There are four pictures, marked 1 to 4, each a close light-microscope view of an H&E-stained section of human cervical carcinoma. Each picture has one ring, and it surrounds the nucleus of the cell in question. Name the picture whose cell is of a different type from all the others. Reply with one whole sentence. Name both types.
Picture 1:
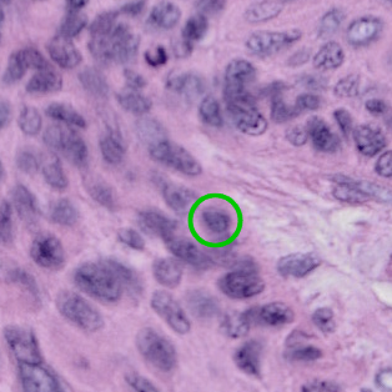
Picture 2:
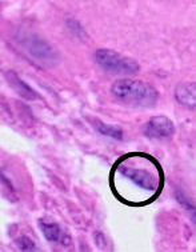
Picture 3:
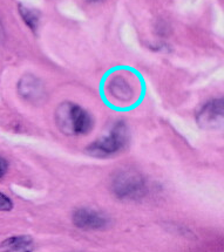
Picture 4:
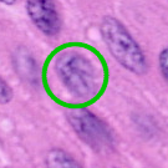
Picture 2 is the odd one out: it shows a fibroblast, while the others show squamous carcinoma cells.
